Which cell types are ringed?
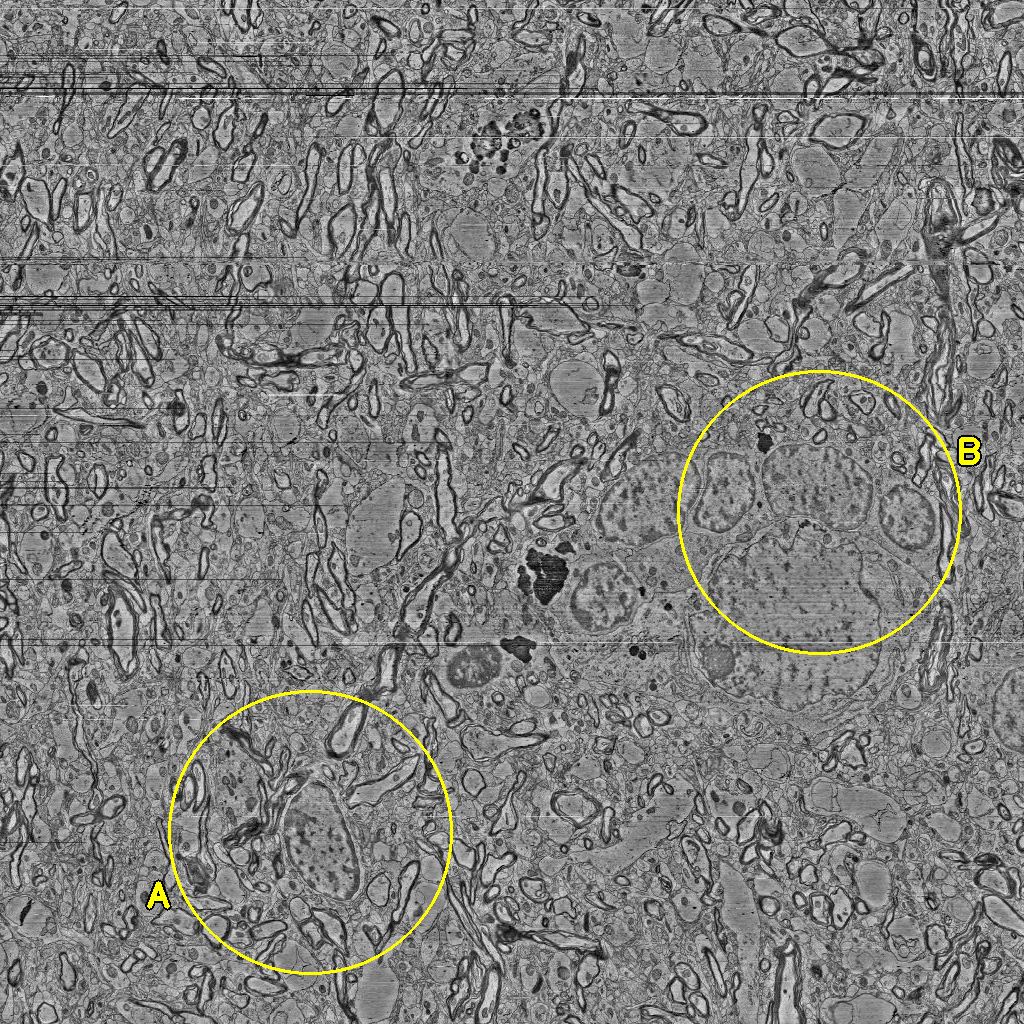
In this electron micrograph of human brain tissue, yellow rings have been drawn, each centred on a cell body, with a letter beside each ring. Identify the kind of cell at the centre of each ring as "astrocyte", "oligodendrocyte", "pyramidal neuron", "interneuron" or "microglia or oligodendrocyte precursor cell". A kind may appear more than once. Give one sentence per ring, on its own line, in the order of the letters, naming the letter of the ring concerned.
Ring A is drawn on a microglial cell or oligodendrocyte precursor cell.
Ring B is drawn on an oligodendrocyte.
